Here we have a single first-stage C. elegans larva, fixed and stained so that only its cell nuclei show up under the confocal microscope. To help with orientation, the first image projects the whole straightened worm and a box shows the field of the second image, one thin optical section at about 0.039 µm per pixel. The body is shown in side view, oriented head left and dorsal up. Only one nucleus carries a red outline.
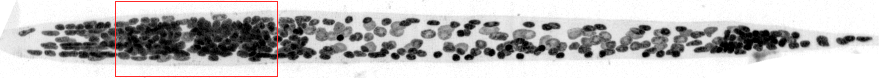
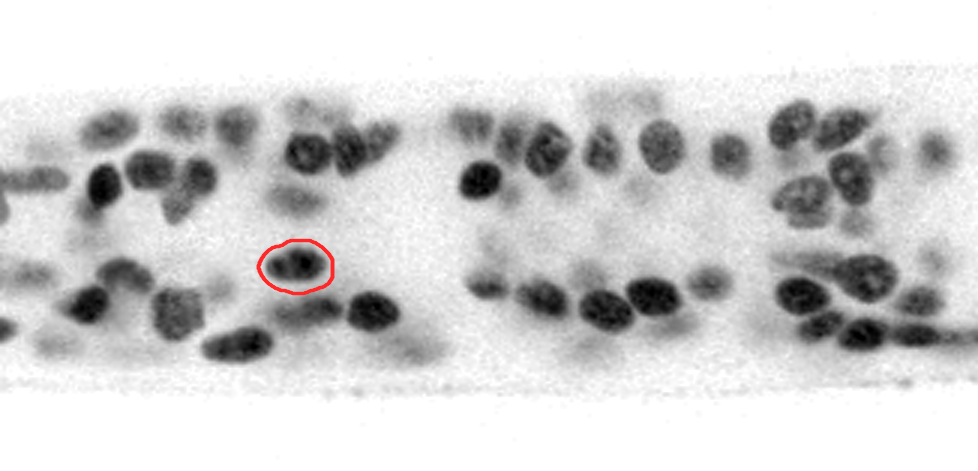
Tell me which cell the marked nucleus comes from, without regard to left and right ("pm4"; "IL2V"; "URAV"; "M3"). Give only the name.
M3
